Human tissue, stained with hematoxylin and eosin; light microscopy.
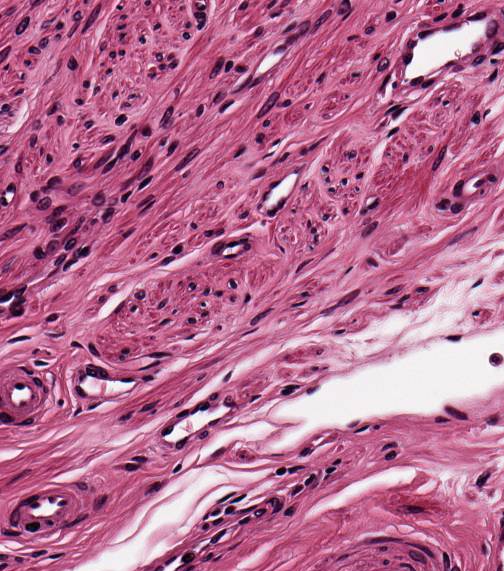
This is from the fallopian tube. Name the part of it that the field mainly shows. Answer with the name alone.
smooth muscle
